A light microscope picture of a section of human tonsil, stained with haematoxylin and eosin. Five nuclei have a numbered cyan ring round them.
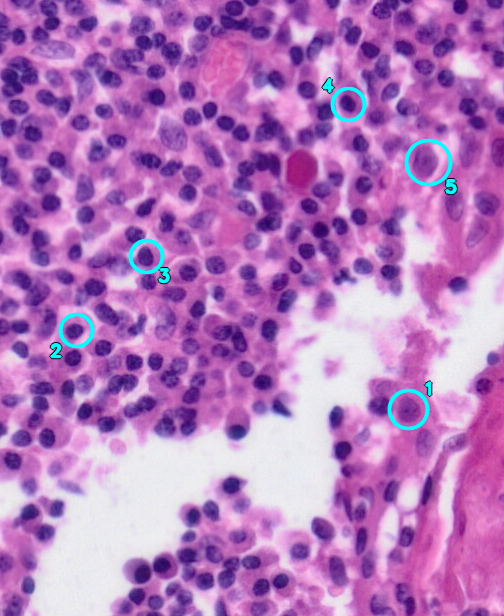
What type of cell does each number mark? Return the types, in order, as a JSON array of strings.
["squamous epithelial cell", "plasma cell", "plasma cell", "plasma cell", "squamous epithelial cell"]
